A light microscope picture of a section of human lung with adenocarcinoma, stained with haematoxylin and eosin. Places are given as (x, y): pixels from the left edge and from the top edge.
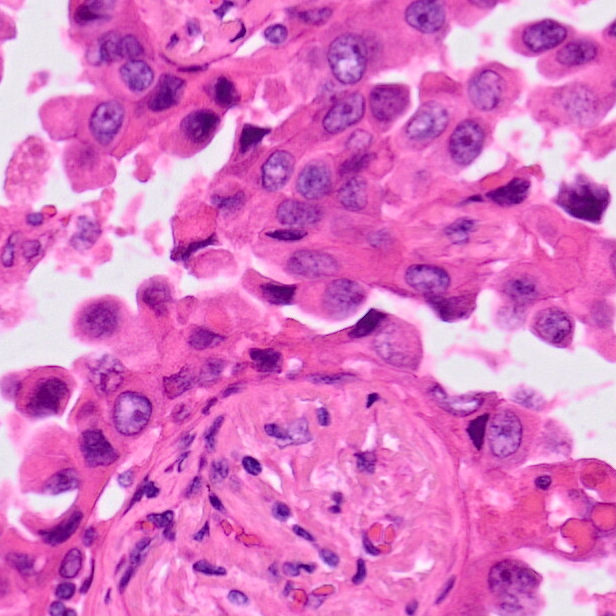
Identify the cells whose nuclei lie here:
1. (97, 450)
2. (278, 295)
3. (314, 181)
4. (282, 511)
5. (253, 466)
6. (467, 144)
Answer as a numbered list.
1. carcinoma cell
2. carcinoma cell
3. carcinoma cell
4. lymphocyte
5. lymphocyte
6. carcinoma cell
